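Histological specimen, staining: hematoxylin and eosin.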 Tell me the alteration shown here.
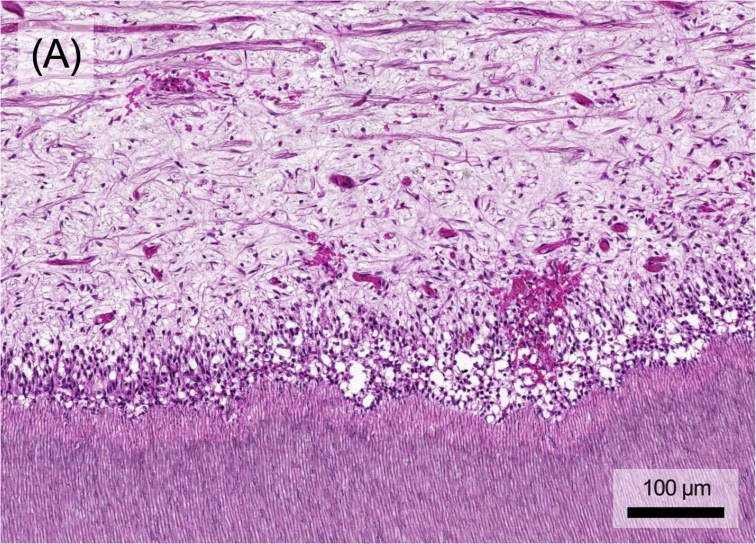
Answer: The odontoblast layer is increasingly degraded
